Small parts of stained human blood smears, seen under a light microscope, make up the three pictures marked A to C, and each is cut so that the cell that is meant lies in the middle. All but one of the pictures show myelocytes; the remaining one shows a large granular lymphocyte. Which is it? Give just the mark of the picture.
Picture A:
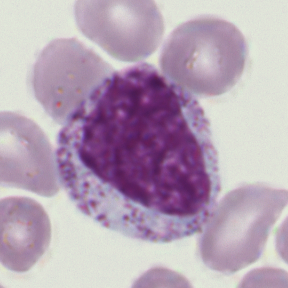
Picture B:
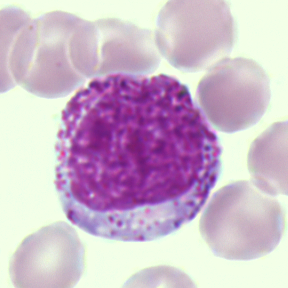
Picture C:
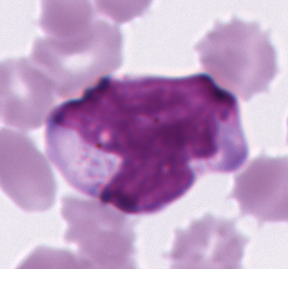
C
